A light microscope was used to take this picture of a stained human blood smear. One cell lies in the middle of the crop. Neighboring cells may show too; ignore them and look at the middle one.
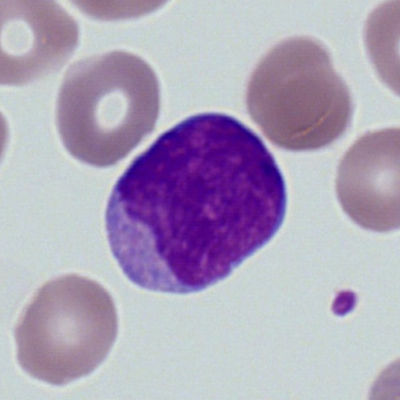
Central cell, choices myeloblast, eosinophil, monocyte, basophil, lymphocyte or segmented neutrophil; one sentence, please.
The cell at the middle of the crop is recognized as a myeloblast.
